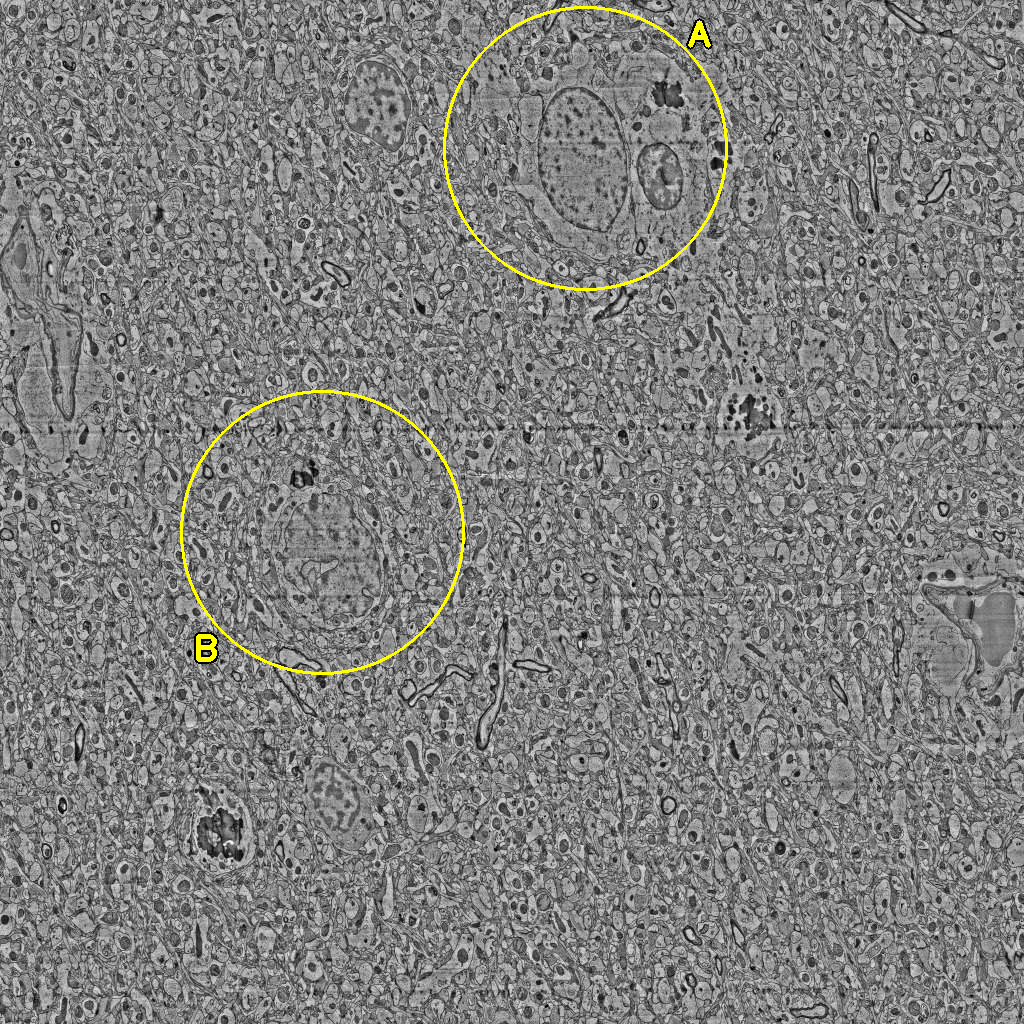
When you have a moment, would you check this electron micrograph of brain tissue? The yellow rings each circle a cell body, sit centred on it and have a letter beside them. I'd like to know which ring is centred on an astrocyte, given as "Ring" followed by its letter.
Ring A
